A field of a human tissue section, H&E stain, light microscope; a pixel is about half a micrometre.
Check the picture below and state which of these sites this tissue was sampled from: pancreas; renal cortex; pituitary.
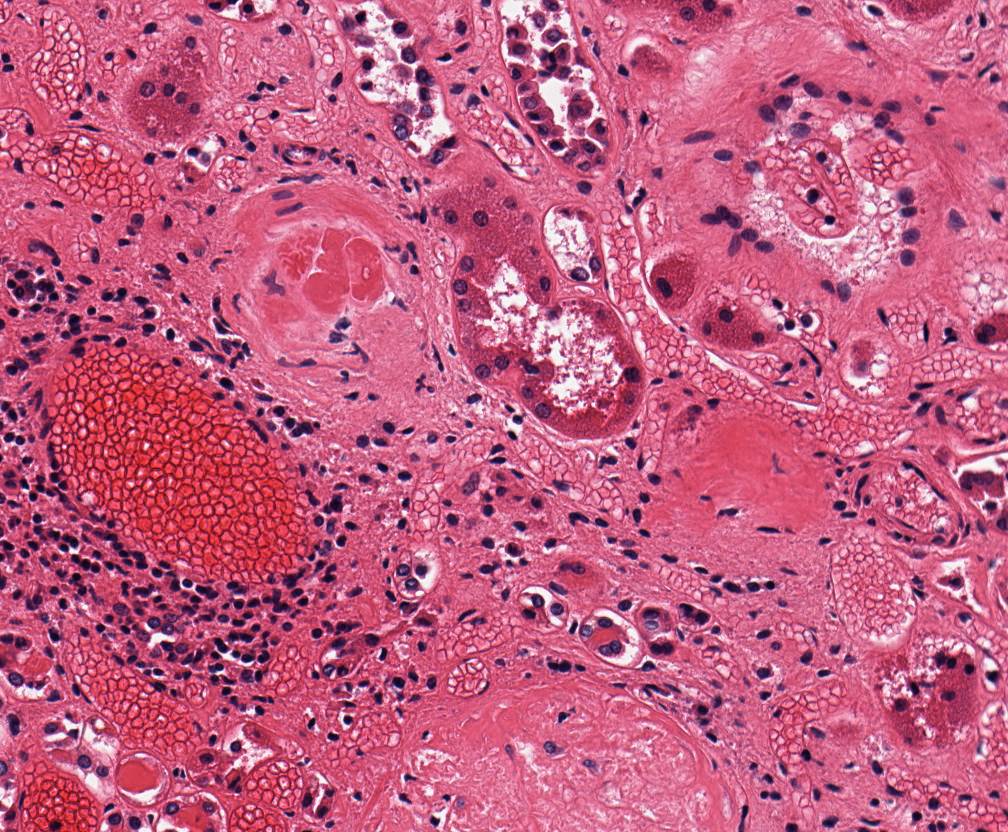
renal cortex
